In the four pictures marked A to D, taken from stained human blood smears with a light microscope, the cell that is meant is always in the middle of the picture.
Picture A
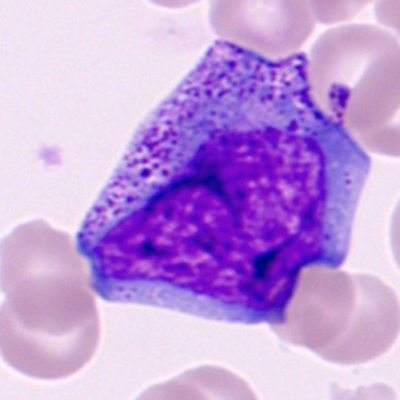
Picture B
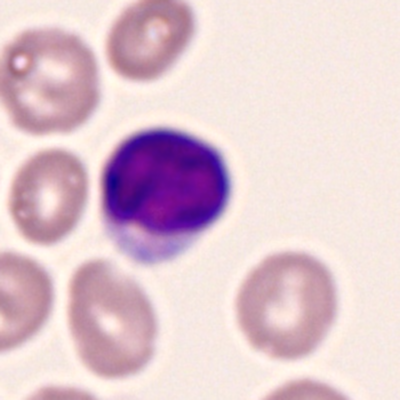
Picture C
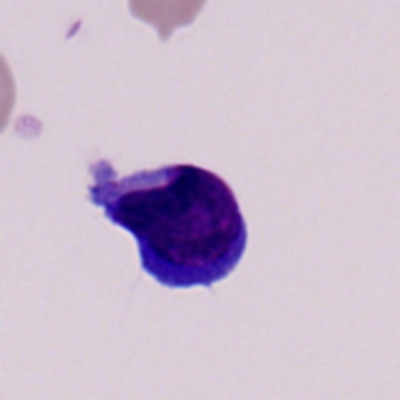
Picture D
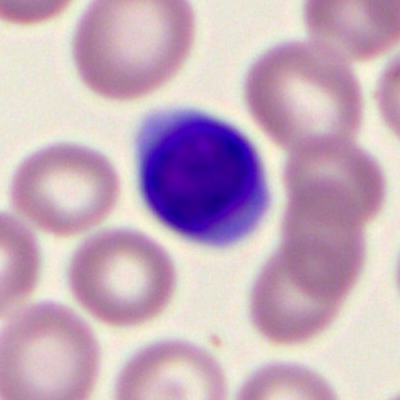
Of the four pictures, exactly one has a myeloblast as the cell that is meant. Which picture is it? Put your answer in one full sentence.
Picture A shows the myeloblast.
